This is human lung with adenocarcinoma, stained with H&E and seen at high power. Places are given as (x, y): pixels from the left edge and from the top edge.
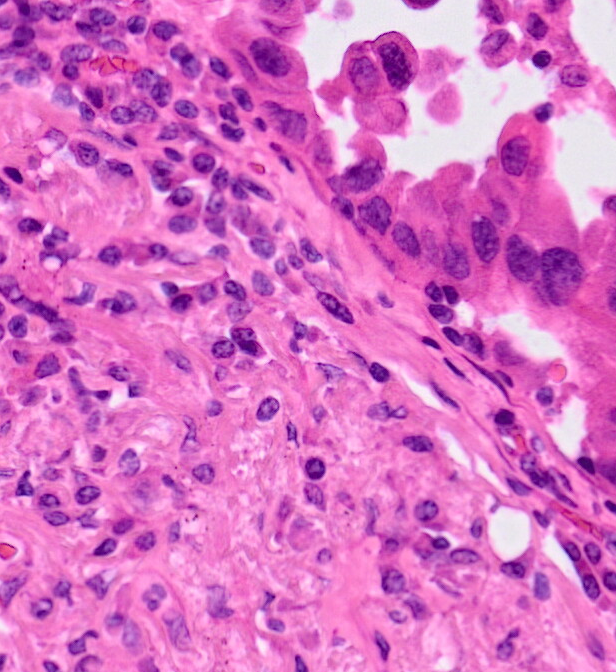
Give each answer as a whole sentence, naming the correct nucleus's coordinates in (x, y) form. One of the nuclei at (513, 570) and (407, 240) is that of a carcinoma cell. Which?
The nucleus lying at (407, 240) is the nucleus of a carcinoma cell.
